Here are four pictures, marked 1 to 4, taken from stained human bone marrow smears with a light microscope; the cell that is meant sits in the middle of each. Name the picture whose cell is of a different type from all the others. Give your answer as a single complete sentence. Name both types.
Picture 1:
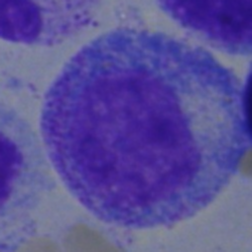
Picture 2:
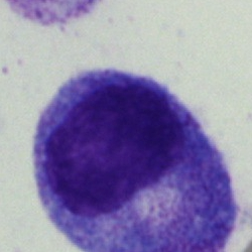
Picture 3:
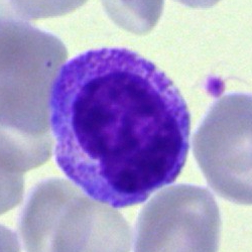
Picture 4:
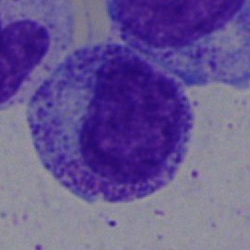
Unlike the rest, which show promyelocytes, picture 4 shows a myelocyte.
